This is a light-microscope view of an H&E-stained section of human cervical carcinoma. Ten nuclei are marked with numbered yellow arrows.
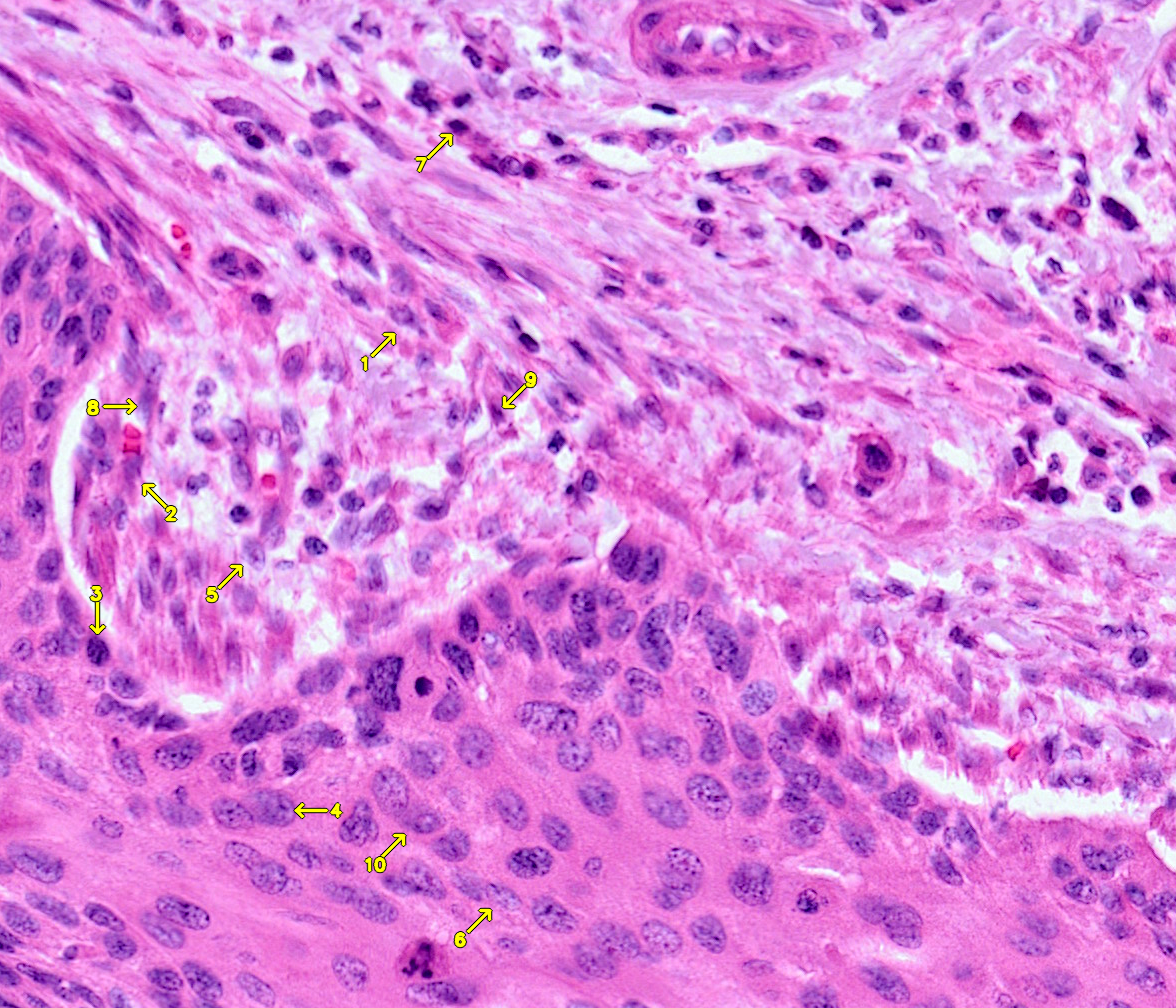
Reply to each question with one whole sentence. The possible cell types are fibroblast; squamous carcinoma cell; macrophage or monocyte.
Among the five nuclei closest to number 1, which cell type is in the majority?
Of the five nuclei nearest to number 1, most belong to macrophages or monocytes.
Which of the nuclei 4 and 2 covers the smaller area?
The smaller nucleus is 2, and 4 covers roughly 2 times its area.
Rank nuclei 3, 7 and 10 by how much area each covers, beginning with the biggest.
From largest to smallest, the order is 10, 3, 7.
